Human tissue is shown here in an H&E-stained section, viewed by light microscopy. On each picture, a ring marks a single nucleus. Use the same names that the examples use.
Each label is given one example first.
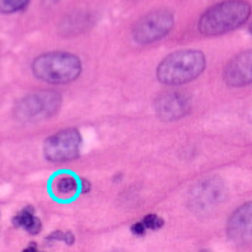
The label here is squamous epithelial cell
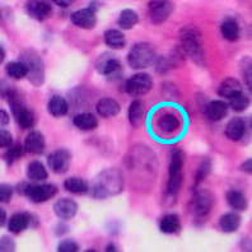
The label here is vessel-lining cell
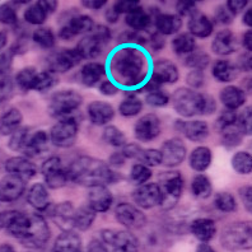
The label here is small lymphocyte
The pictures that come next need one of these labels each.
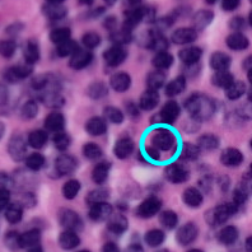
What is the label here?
small lymphocyte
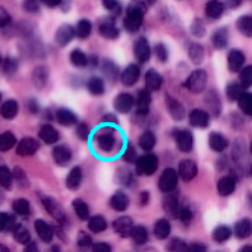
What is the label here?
small lymphocyte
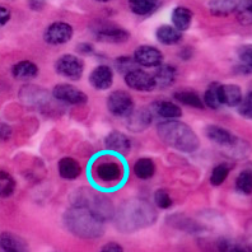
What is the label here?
vessel-lining cell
